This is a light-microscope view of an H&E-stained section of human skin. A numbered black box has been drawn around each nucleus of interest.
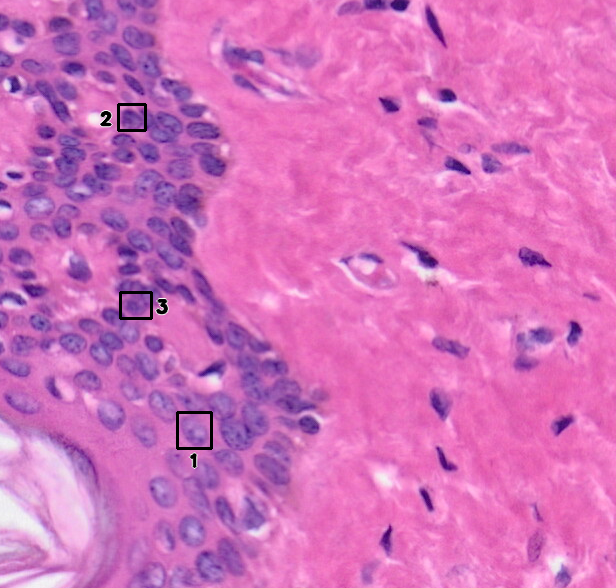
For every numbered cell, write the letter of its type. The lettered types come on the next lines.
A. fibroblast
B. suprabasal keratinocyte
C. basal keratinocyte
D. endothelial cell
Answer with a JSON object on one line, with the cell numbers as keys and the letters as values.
{"1": "B", "2": "C", "3": "C"}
